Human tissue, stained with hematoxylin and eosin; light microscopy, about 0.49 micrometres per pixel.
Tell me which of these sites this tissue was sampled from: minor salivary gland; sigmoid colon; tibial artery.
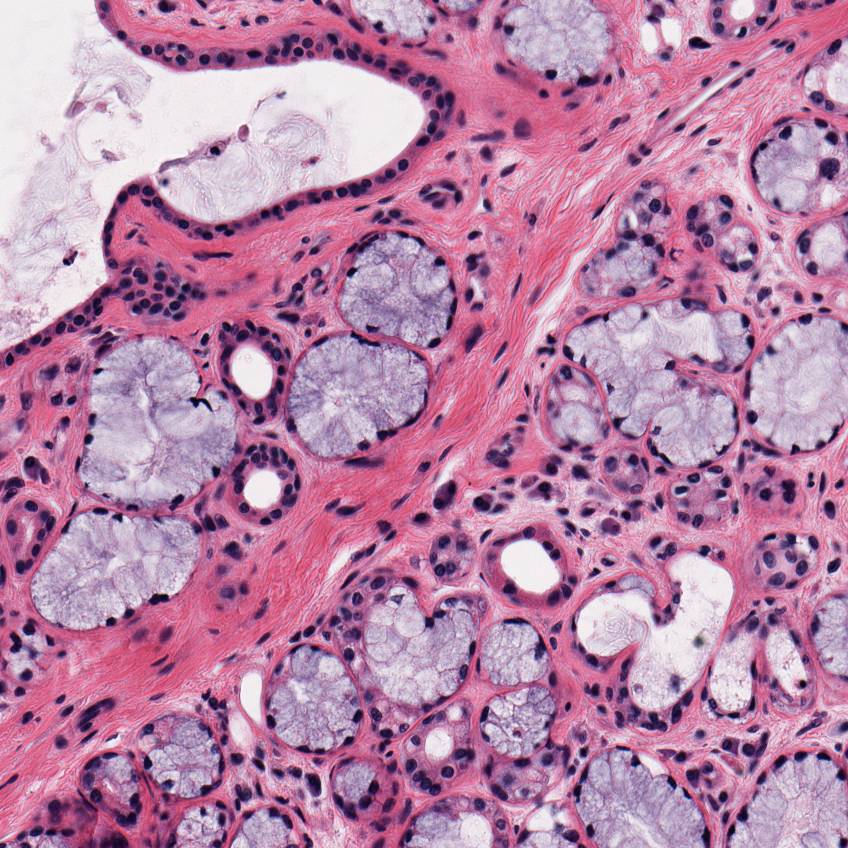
minor salivary gland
